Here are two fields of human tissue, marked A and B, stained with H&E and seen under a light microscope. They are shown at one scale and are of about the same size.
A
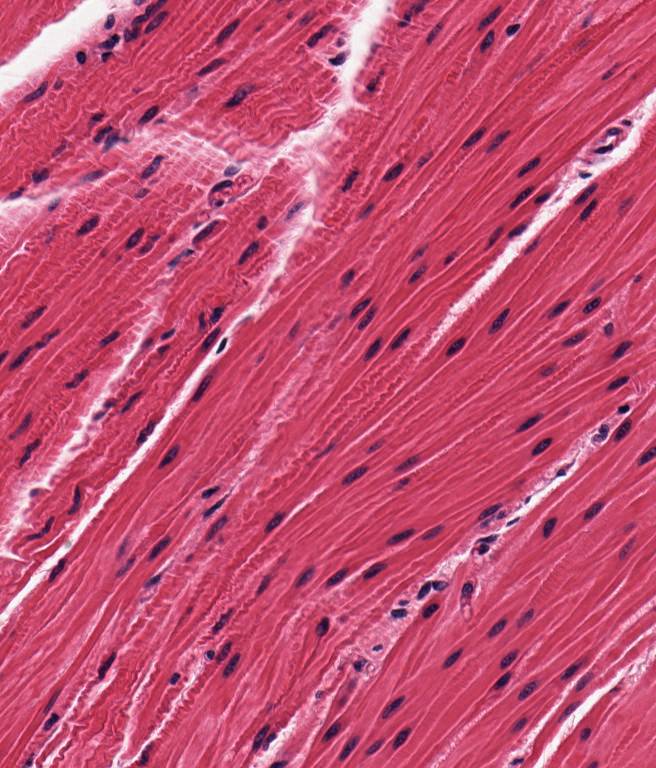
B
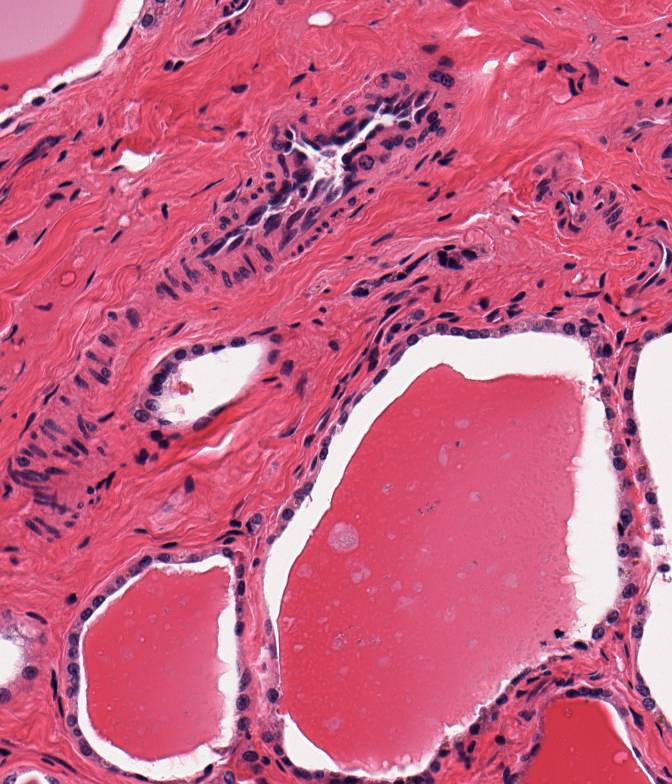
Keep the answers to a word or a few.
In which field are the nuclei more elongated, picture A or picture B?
A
